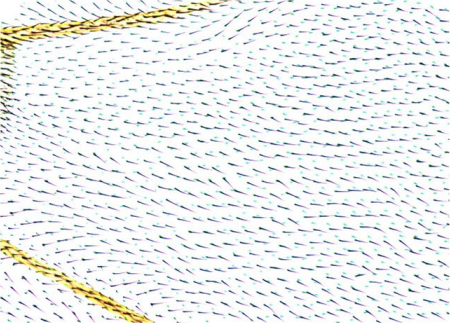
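This is the surface of the fly wing blade, seen from above, between two of its veins. The whole field is covered by small dark hairs, the trichomes, spaced fairly evenly over the thin clear membrane. Each hair is short and pointed, and nearly all of them lean the same way, giving the surface a combed look. At two corners thick yellow-brown veins cross the field, far broader than the hairs around them.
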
